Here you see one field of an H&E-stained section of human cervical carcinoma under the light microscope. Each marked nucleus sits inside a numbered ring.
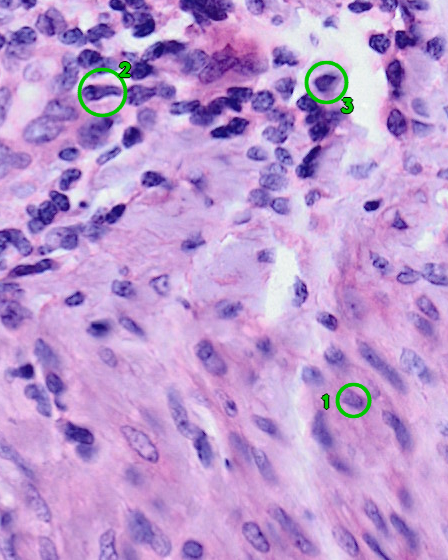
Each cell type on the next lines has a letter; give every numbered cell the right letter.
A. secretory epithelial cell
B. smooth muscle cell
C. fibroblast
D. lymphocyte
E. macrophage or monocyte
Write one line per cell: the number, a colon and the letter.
1: B
2: D
3: D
